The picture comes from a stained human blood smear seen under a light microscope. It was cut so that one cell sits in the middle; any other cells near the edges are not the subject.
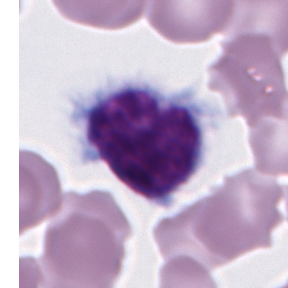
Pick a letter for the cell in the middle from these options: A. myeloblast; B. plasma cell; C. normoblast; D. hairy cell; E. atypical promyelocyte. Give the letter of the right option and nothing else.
D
